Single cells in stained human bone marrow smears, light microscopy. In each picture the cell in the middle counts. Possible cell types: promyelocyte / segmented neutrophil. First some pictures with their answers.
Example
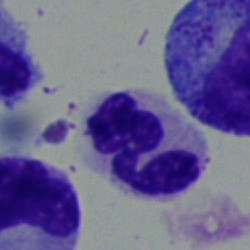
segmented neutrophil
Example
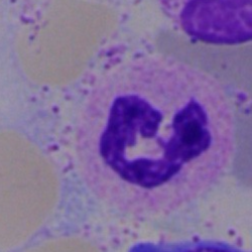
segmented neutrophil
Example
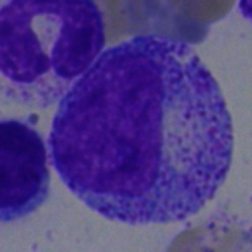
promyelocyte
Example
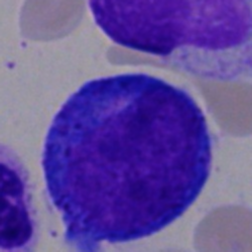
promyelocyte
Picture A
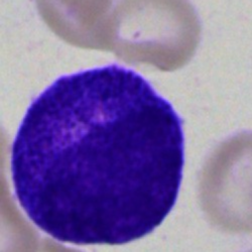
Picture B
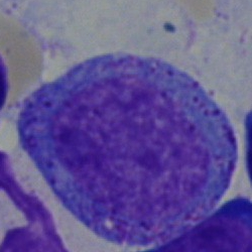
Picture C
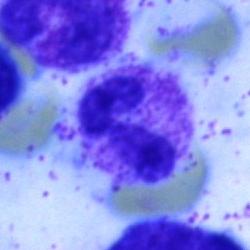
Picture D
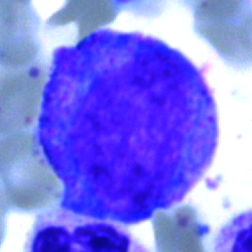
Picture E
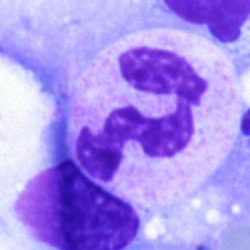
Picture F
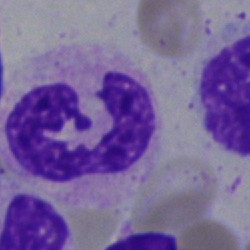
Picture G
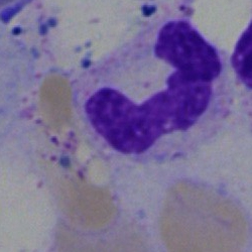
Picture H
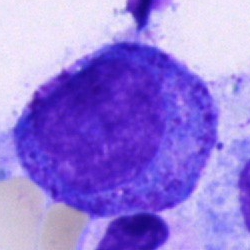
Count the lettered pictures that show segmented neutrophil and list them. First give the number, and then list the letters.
4: C, E, F, G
